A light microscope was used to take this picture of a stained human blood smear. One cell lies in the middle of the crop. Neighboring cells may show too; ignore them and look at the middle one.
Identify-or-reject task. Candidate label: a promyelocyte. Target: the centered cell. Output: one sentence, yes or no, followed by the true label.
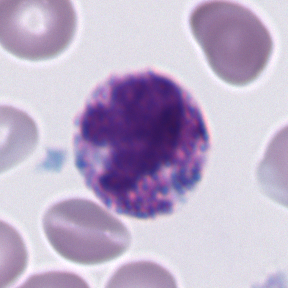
No, what the centre of the crop shows is a basophil, not a promyelocyte.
